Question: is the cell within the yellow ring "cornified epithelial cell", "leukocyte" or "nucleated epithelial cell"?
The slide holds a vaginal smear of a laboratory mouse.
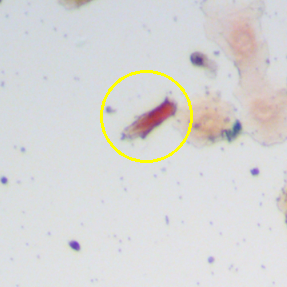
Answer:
cornified epithelial cell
